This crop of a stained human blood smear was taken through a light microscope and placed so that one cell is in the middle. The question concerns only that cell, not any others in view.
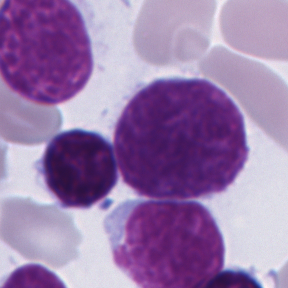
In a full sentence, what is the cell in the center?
For this crop, the cell in the middle is a myeloblast.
